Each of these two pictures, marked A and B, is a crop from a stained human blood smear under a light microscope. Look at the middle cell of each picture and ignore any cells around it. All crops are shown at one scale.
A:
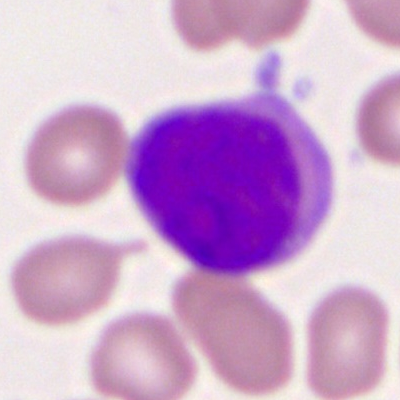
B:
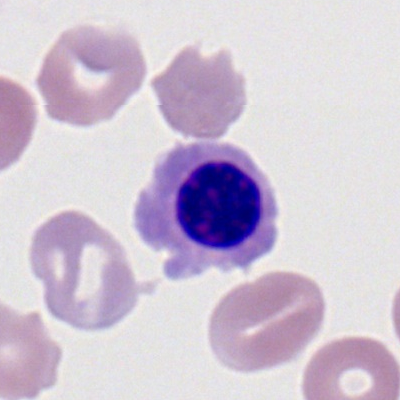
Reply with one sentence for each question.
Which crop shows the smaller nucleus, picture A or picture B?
The nucleus in picture B is smaller; the one in picture A has about 4 times its area.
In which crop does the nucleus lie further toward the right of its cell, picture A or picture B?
Seen within its cell, the nucleus in picture B lies further toward the right.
